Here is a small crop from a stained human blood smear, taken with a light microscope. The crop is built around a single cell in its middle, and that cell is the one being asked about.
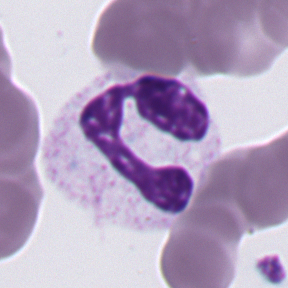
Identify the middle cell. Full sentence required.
The cell that lies at the centre of the crop is a segmented neutrophil.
